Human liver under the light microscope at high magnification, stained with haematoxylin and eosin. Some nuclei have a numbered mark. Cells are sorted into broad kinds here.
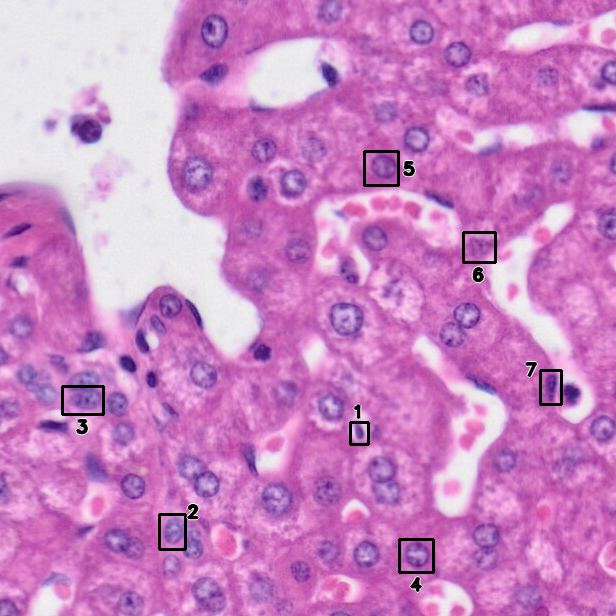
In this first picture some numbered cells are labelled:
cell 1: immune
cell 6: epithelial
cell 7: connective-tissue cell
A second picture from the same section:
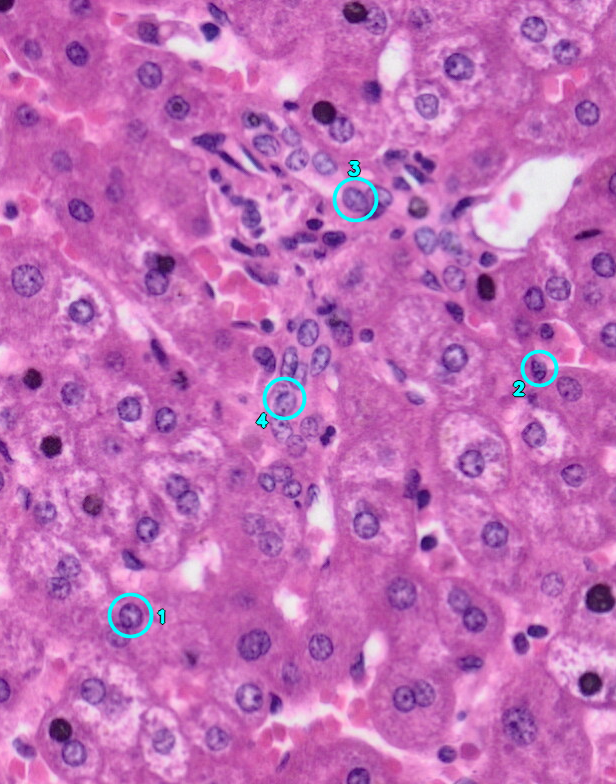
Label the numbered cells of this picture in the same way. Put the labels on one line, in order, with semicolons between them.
epithelial; connective-tissue cell; epithelial; epithelial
